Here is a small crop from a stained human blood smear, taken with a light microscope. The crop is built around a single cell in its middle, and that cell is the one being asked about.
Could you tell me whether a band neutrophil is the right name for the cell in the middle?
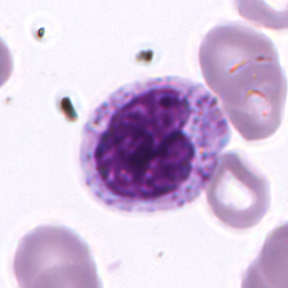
yes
